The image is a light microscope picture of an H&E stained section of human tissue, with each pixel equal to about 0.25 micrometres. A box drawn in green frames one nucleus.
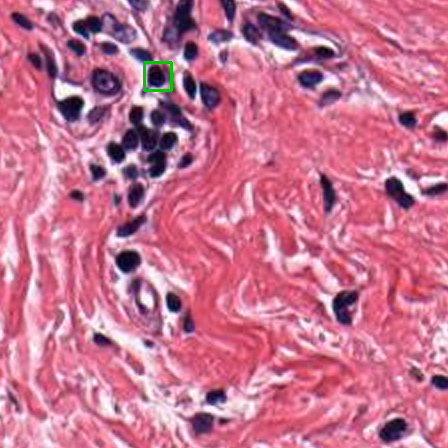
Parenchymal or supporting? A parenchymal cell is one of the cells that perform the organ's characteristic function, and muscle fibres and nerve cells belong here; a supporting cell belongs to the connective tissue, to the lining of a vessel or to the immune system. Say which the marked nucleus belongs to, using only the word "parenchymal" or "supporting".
supporting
